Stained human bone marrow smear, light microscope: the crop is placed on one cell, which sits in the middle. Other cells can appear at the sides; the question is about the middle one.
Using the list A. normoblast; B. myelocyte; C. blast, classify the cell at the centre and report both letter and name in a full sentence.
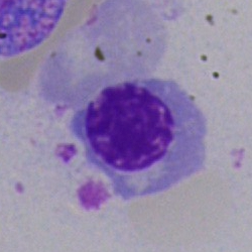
Answer key: option A, the middle cell being a normoblast.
